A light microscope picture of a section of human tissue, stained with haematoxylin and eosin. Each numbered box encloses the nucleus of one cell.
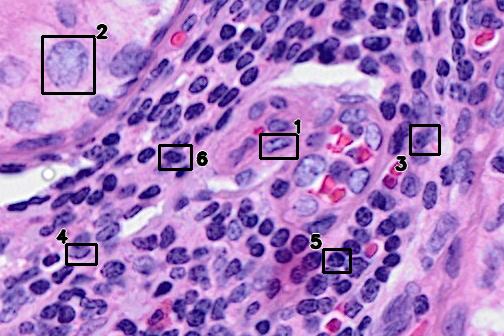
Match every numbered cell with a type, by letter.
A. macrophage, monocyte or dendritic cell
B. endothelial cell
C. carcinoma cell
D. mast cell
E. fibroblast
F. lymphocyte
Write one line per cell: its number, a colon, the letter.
1: B
2: C
3: F
4: F
5: F
6: F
